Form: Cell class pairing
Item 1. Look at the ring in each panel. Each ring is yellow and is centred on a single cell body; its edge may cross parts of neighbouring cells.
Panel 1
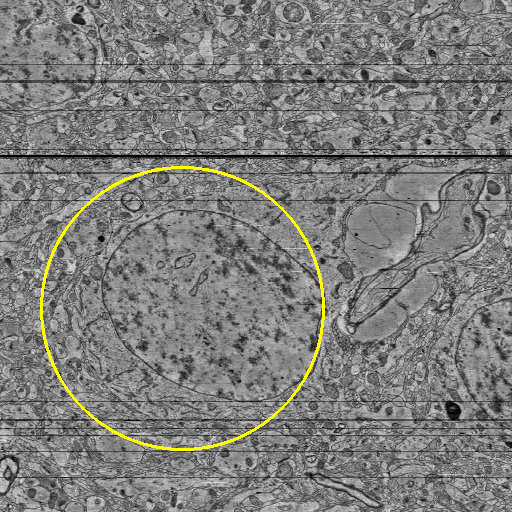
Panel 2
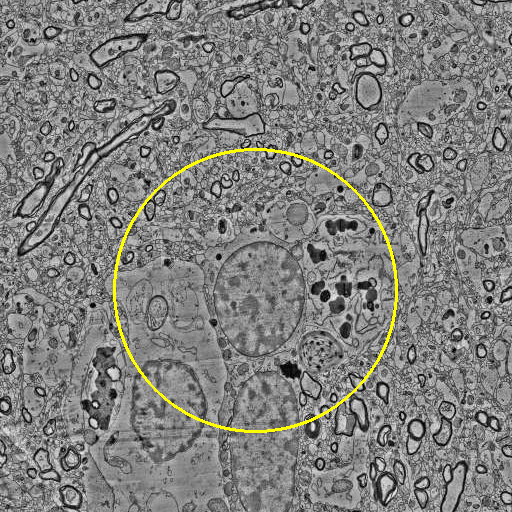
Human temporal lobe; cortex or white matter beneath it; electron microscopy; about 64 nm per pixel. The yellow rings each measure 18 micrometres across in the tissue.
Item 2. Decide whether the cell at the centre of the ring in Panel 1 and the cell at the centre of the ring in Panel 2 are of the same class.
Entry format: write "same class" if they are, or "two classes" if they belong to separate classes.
two classes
